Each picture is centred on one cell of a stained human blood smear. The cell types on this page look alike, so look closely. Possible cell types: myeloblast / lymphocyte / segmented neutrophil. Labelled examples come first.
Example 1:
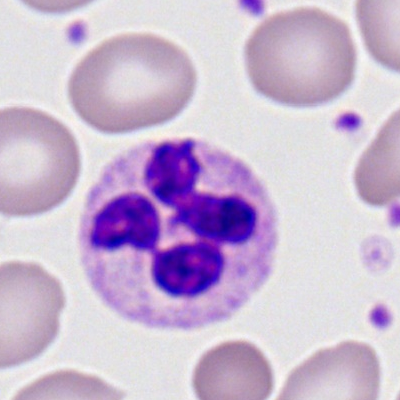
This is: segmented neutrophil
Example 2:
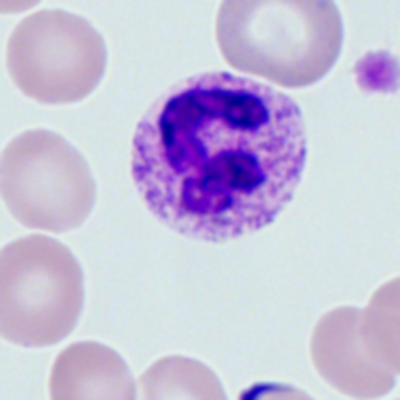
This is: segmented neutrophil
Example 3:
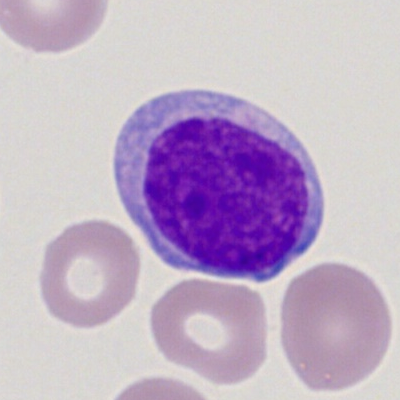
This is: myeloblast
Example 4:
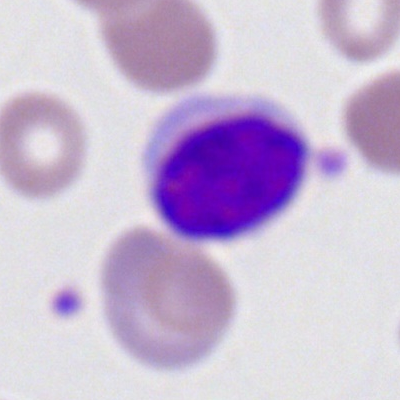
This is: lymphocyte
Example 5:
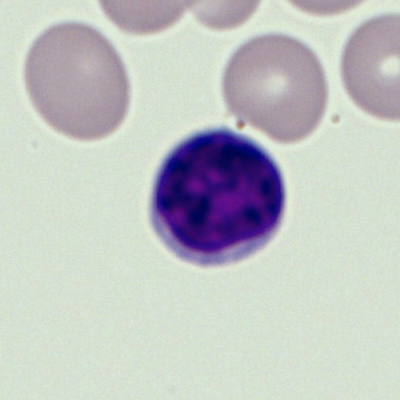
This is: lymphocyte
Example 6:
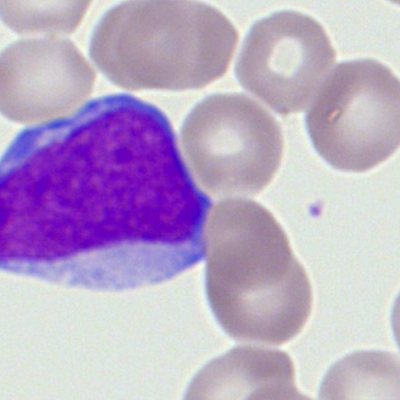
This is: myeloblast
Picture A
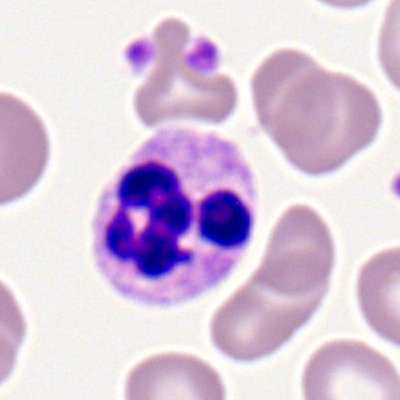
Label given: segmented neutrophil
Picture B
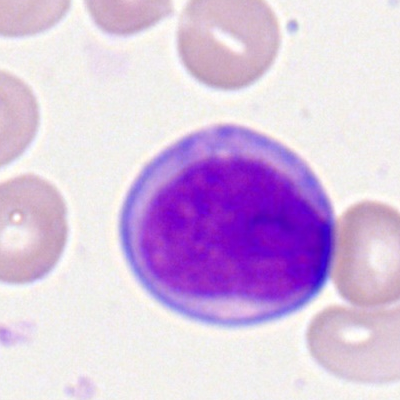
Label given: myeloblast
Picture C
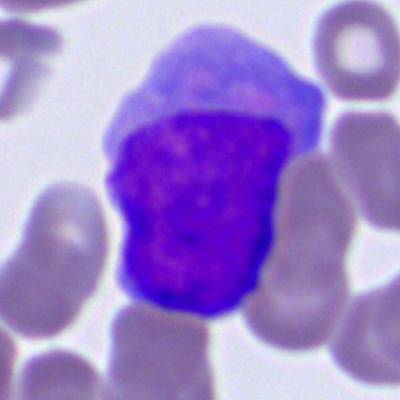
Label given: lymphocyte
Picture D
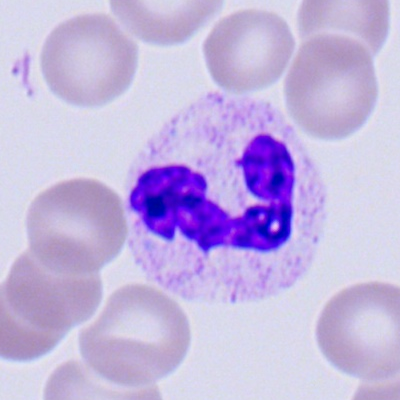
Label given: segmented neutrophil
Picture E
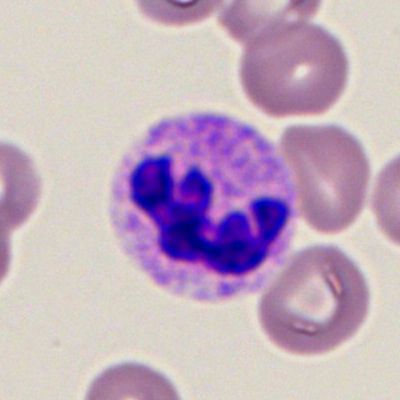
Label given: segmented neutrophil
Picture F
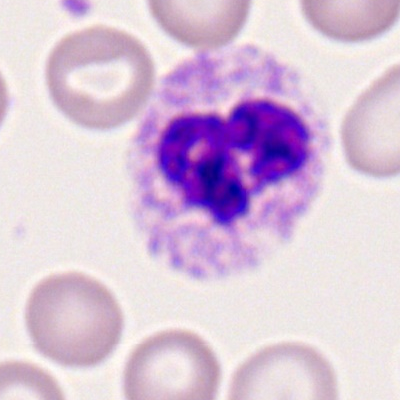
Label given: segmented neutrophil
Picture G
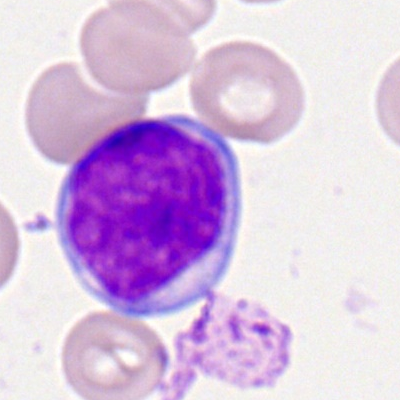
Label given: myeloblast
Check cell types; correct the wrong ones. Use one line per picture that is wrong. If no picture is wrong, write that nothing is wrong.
C: change lymphocyte to myeloblast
